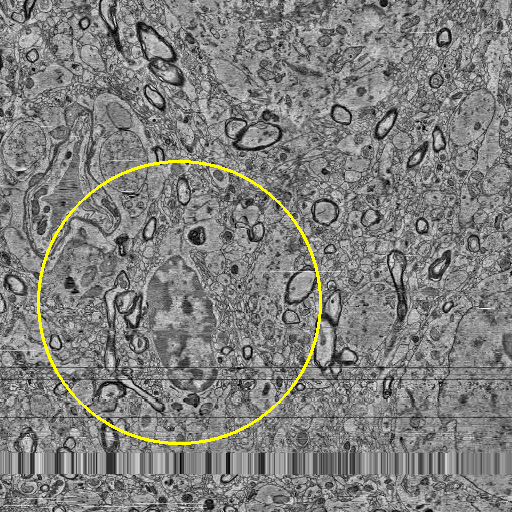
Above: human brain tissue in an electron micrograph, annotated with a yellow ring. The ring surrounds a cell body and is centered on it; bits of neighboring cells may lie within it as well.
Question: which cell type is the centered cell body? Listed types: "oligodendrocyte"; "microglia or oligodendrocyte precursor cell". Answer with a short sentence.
The centered cell body is a microglial cell or oligodendrocyte precursor cell.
